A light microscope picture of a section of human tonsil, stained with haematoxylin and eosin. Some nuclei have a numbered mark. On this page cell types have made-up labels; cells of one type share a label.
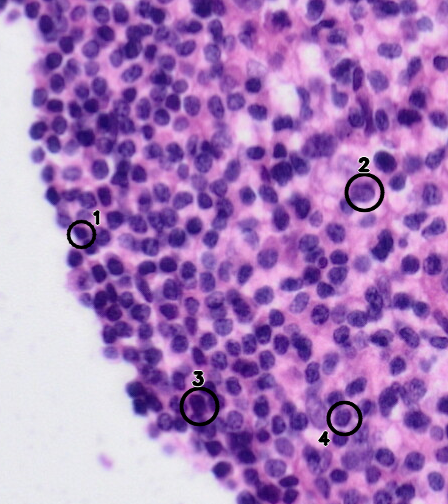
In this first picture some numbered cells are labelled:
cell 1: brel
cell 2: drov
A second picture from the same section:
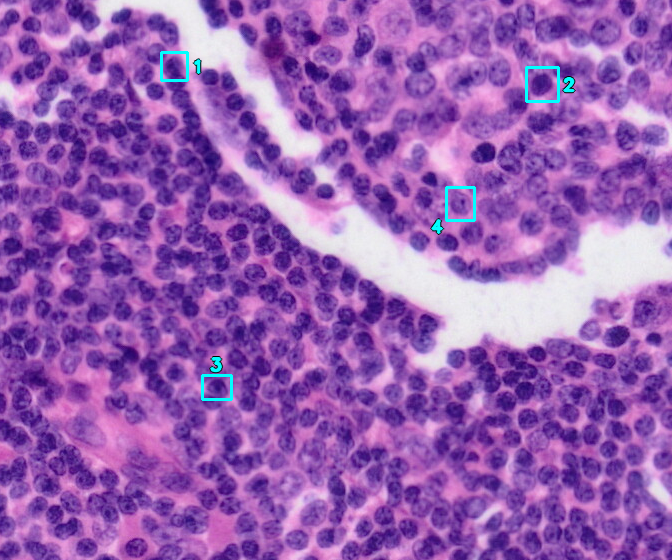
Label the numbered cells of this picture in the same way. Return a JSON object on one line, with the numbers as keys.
{"1": "brel", "2": "drov", "3": "brel", "4": "drov"}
